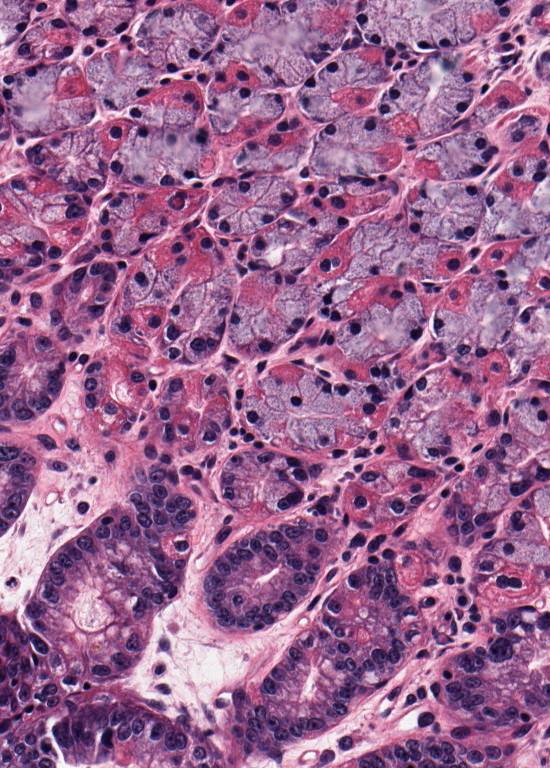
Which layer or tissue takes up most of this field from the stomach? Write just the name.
fundic glands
